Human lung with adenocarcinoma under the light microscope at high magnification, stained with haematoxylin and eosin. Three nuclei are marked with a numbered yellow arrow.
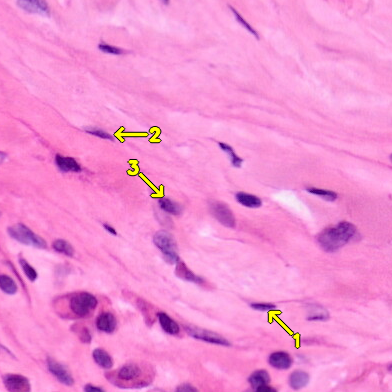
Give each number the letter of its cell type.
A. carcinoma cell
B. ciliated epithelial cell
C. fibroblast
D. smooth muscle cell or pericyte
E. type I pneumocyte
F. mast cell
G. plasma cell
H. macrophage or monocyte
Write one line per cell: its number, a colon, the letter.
1: C
2: C
3: G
